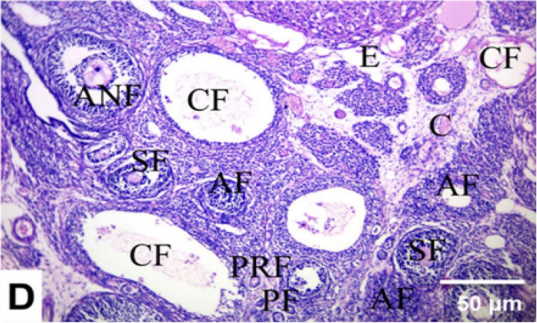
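Large rounded cavities, filled with pale pink fluid and lined by a thin layer of granulosa cells, are scattered across the field. Between them lie small follicles with a central oocyte and layered dark-nucleated granulosa cells, and a follicle with a small cavity at the upper left. The stroma between follicles is loosened with pale, widely spaced areas, and small vessels and pink fluid-filled spaces appear at the upper right. The overall arrangement is irregular compared with a compact ovarian stroma.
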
